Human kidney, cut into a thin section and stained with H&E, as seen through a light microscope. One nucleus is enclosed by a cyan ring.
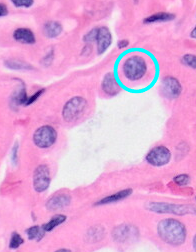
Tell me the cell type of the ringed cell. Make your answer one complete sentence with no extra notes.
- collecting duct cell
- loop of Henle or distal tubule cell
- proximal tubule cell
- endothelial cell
In this tissue sample, the ringed cell is a loop of Henle or distal tubule cell.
